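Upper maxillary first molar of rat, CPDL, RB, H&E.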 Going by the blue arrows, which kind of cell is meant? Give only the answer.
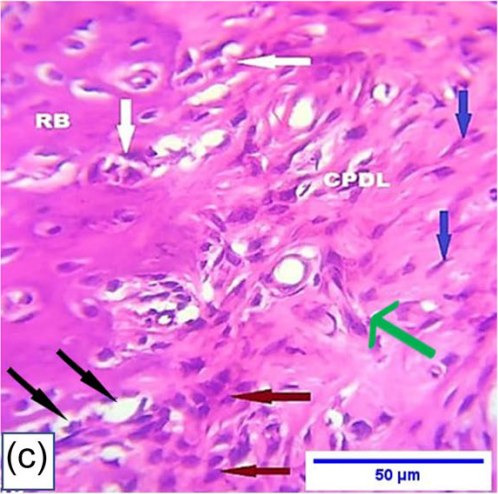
Fibroblast.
